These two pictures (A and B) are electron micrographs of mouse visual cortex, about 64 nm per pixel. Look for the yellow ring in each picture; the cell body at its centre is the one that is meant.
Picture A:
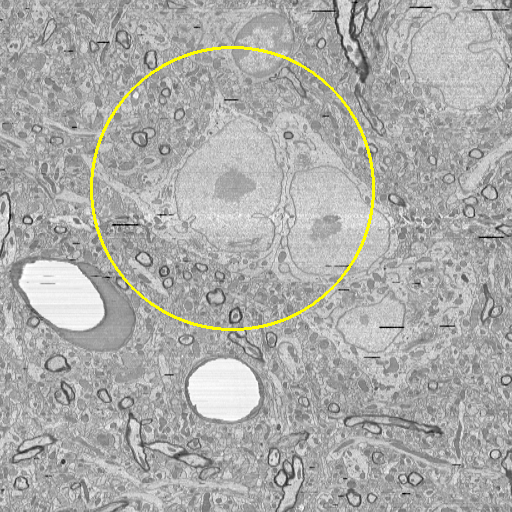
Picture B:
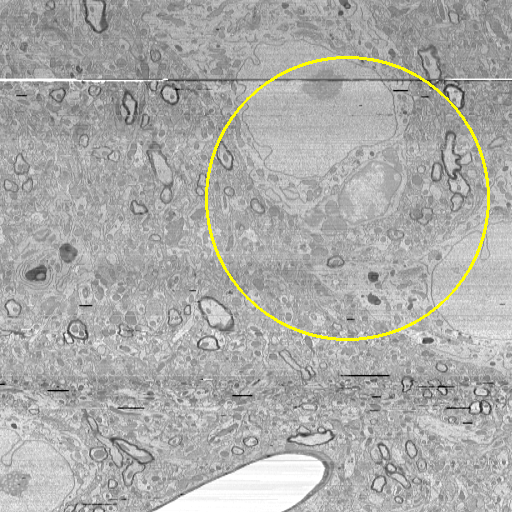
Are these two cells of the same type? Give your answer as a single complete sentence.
No, they differ: the cell is an inhibitory neuron in picture A and an oligodendrocyte in picture B.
